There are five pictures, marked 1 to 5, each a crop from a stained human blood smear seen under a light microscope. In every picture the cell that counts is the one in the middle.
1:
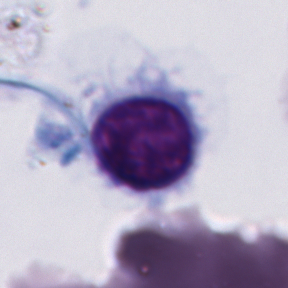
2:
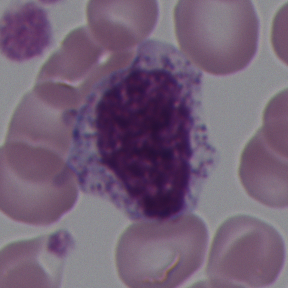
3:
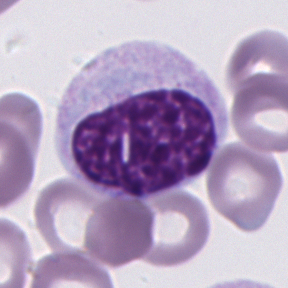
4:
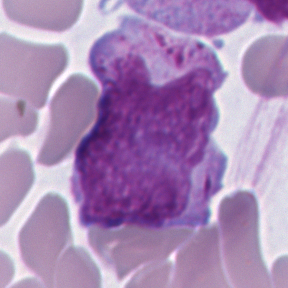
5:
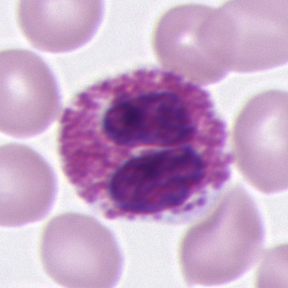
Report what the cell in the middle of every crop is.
1: hairy cell
2: myelocyte
3: metamyelocyte
4: atypical promyelocyte
5: eosinophil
